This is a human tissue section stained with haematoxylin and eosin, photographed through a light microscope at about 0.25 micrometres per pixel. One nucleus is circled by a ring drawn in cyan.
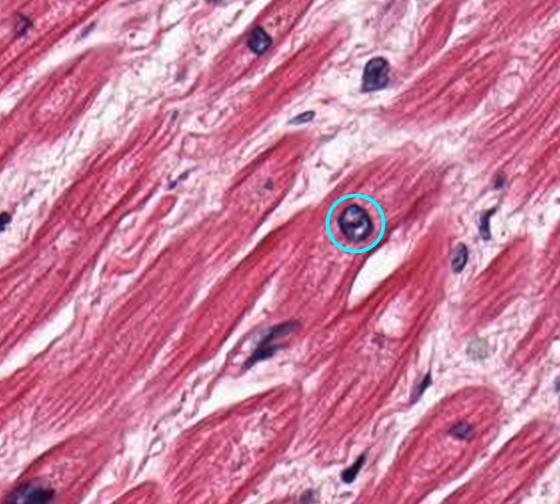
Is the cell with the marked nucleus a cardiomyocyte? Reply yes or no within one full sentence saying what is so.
Yes, the nucleus shown with the mark belongs to a cardiomyocyte.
